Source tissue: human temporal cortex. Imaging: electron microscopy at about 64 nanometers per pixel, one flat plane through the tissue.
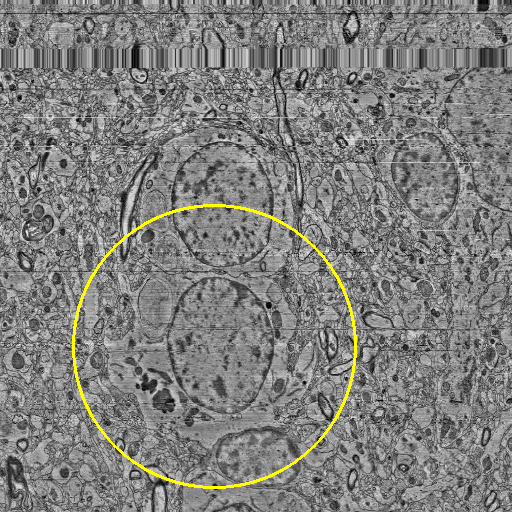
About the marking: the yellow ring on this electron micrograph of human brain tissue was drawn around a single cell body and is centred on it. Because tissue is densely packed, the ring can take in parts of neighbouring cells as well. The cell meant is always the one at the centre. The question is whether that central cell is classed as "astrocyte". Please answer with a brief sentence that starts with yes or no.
Yes, the central cell is classed that way.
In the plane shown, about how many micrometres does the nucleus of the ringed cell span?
The nucleus has a long axis of about 9 micrometres and a short axis of about 7 micrometres in this plane.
